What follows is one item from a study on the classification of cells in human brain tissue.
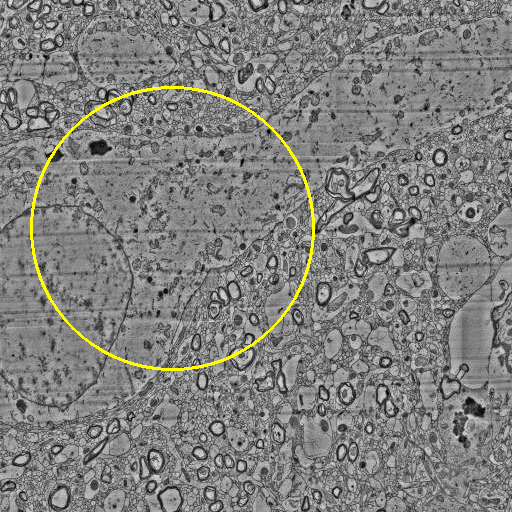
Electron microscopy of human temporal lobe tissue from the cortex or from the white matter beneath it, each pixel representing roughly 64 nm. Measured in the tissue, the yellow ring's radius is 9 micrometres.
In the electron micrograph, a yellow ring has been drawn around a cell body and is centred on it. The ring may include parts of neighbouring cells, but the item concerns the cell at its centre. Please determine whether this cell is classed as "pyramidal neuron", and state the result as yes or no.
no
